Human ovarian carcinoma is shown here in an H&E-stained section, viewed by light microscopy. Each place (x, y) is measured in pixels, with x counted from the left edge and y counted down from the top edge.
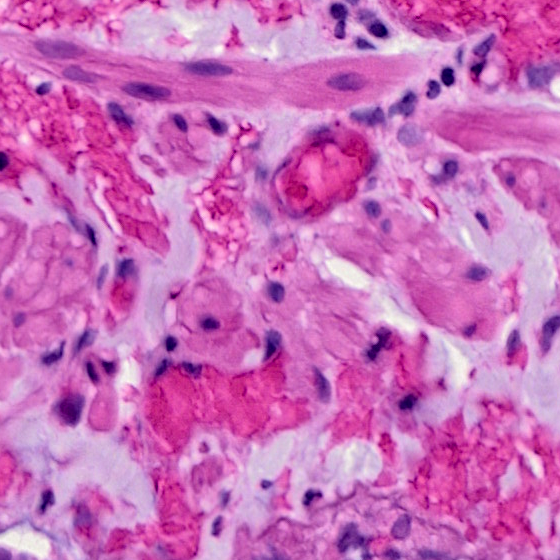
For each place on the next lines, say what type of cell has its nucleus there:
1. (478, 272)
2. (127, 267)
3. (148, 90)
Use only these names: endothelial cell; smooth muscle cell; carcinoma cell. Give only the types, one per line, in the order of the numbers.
smooth muscle cell
endothelial cell
smooth muscle cell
